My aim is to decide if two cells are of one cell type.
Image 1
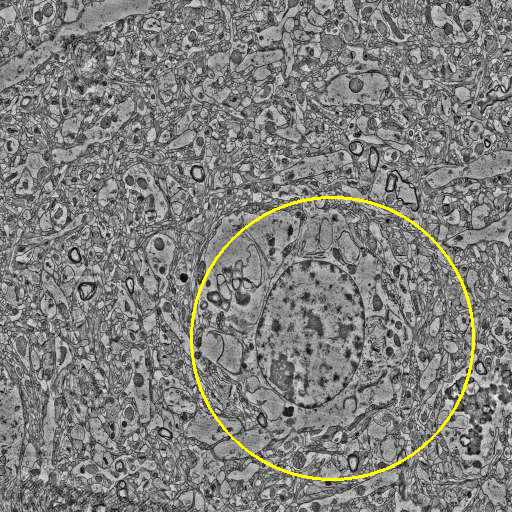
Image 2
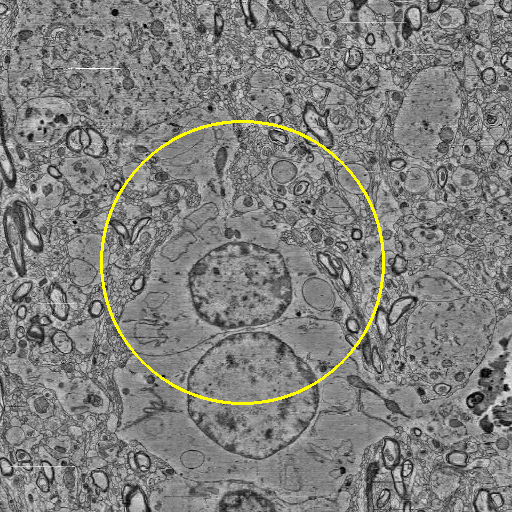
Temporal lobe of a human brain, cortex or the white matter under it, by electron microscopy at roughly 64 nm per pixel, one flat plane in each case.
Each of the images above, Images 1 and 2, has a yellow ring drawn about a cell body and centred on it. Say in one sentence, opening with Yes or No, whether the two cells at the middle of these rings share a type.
Yes, in Images 1 and 2 the cells at the middle of the rings share one type.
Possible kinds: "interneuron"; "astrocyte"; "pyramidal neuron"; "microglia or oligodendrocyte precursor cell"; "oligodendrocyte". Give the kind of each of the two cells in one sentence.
The first and the second cell are each an astrocyte.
